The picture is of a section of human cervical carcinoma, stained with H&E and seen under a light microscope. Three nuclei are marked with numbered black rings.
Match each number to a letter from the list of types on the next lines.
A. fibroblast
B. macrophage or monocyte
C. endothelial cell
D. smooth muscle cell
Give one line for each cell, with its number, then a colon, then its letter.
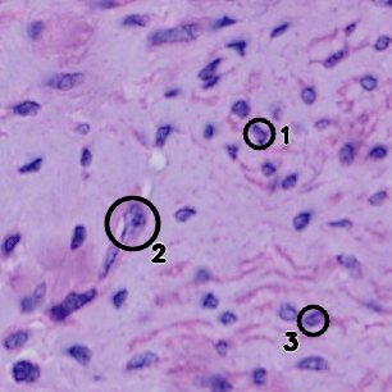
1: D
2: C
3: D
